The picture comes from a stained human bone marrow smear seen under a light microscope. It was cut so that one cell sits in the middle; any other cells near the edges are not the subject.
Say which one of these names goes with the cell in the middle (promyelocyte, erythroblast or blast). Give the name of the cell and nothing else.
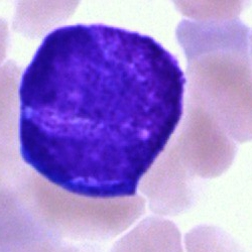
blast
